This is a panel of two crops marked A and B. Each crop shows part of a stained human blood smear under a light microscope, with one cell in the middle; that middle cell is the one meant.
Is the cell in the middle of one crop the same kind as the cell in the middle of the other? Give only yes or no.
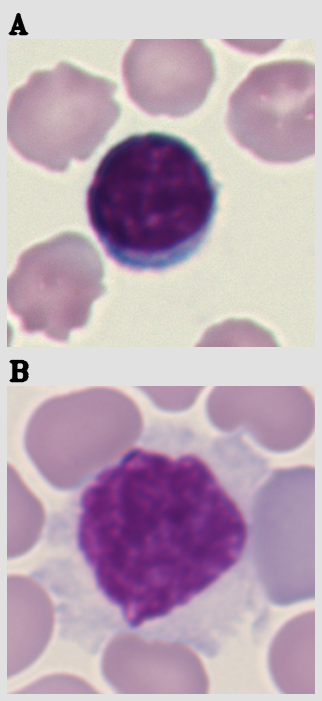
no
